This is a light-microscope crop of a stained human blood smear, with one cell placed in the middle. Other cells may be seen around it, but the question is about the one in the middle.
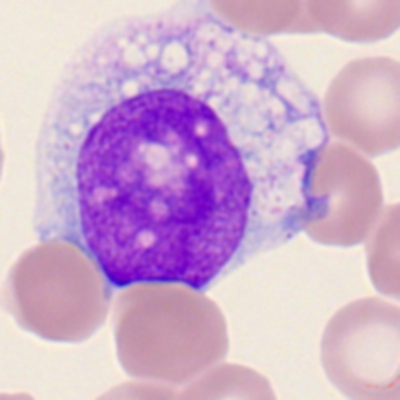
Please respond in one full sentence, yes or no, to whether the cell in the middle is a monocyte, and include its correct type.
Yes, that middle cell in the crop is a monocyte.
